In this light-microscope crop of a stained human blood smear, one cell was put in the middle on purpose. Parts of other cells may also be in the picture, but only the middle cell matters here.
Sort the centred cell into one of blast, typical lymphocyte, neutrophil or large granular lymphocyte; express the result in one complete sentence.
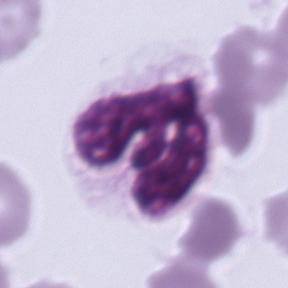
Classification of the middle cell gives a neutrophil.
